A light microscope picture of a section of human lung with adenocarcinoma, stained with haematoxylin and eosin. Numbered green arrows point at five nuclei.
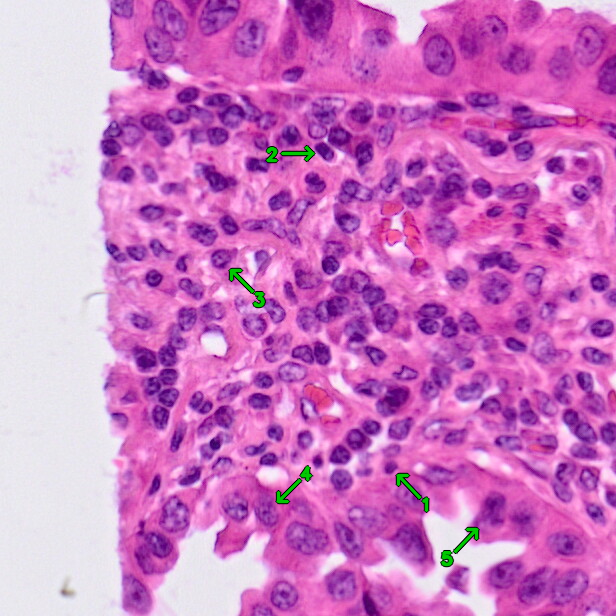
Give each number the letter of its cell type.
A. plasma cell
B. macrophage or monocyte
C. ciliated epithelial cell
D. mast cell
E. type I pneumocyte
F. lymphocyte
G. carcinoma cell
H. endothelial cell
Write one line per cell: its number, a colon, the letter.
1: F
2: F
3: A
4: G
5: G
